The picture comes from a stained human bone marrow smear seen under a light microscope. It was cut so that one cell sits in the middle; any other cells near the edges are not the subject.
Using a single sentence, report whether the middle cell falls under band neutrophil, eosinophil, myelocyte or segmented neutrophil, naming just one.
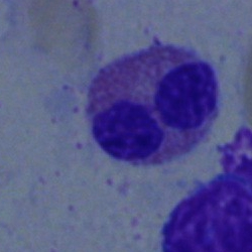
In the middle of this smear crop, the cell is an eosinophil.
